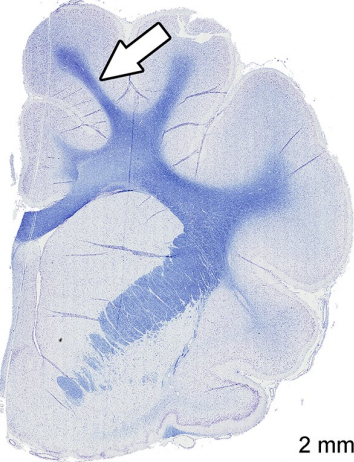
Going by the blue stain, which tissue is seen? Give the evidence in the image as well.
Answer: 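Deep blue staining fills a branching core extending into the gyri. The surrounding cortex is pale lilac, not deep blue. On this evidence: white matter.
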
